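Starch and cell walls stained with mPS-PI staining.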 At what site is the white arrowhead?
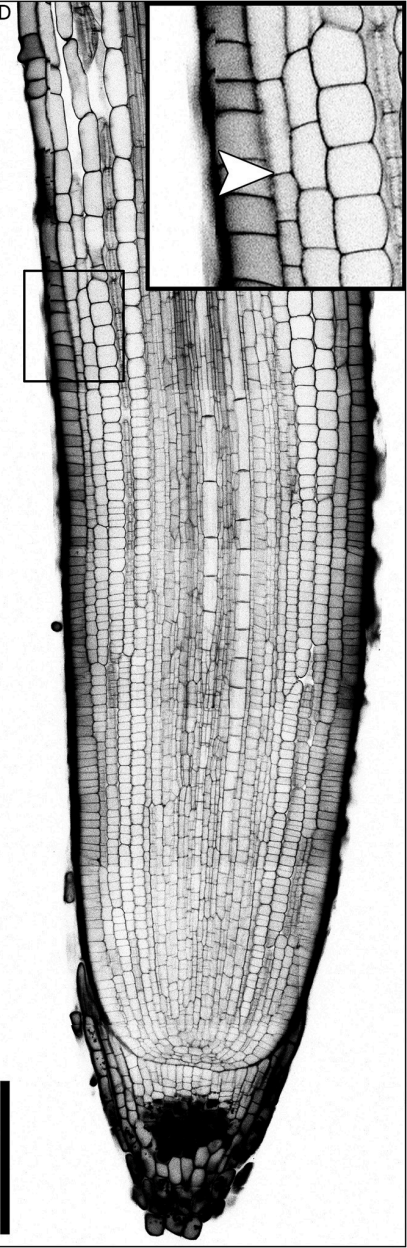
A: transition zone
